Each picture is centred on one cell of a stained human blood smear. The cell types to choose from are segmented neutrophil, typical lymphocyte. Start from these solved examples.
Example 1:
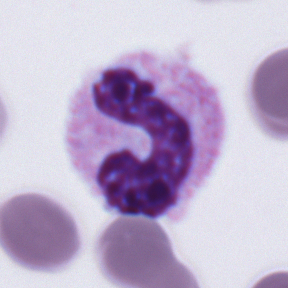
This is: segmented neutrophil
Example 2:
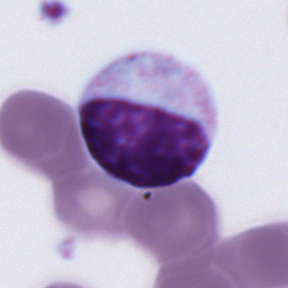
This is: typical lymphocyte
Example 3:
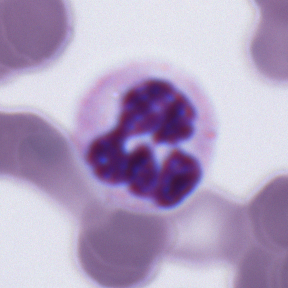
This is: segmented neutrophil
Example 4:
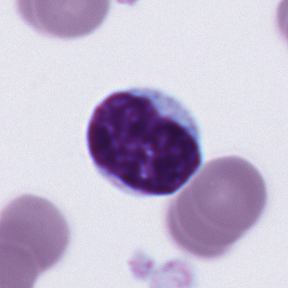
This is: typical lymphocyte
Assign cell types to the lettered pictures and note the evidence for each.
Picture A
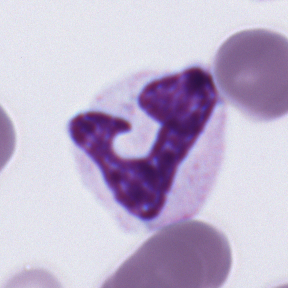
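segmented neutrophil. Reason: The cytoplasm is plentiful and pale pink.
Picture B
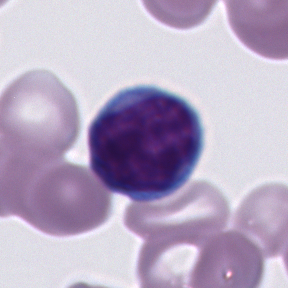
typical lymphocyte. Reason: The cytoplasm forms only a very thin rim around the nucleus.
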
